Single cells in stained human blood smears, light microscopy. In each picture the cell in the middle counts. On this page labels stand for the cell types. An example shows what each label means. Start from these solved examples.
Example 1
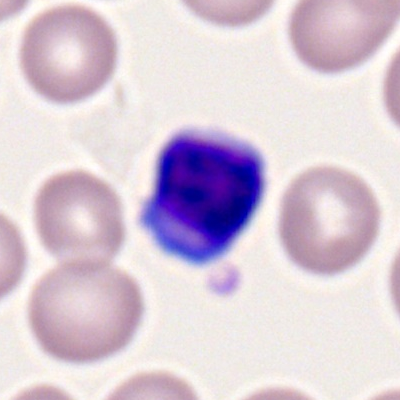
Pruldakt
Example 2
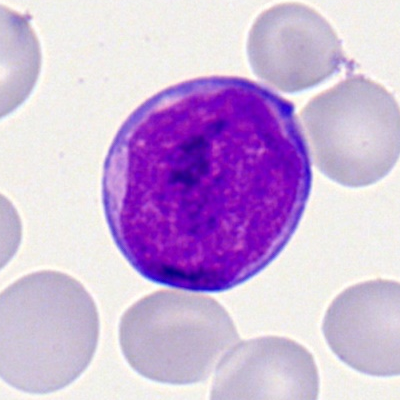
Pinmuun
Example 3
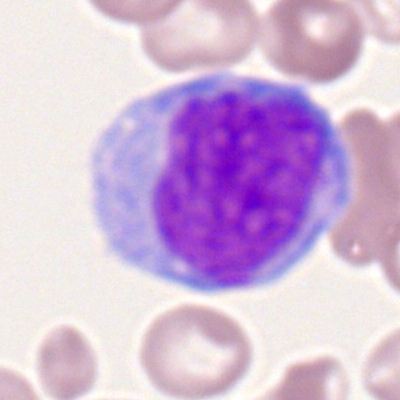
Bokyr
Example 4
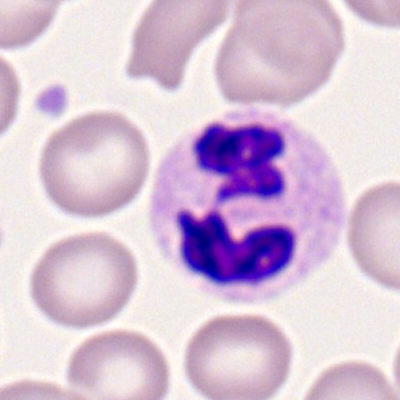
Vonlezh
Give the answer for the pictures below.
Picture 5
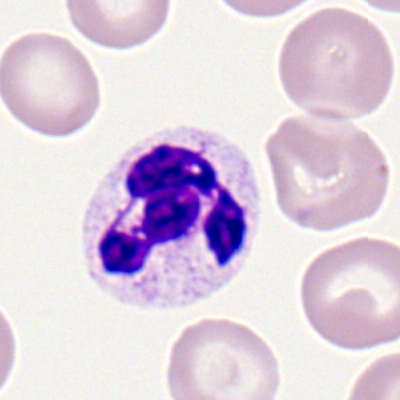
Vonlezh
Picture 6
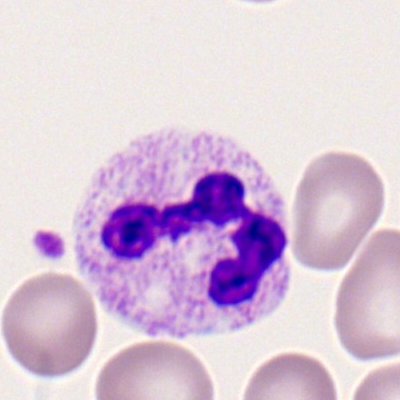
Vonlezh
